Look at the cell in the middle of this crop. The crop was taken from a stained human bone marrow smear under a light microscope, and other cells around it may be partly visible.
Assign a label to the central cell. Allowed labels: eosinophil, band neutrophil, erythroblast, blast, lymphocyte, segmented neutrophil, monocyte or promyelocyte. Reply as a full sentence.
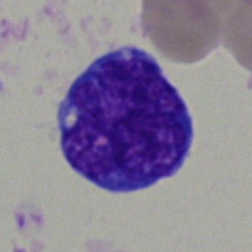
Seen at the centre of the crop is a blast.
